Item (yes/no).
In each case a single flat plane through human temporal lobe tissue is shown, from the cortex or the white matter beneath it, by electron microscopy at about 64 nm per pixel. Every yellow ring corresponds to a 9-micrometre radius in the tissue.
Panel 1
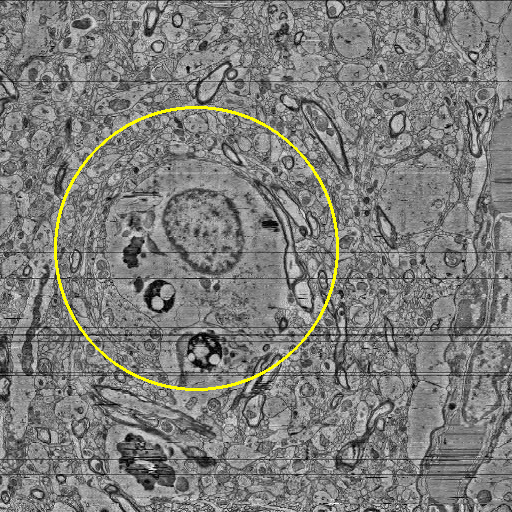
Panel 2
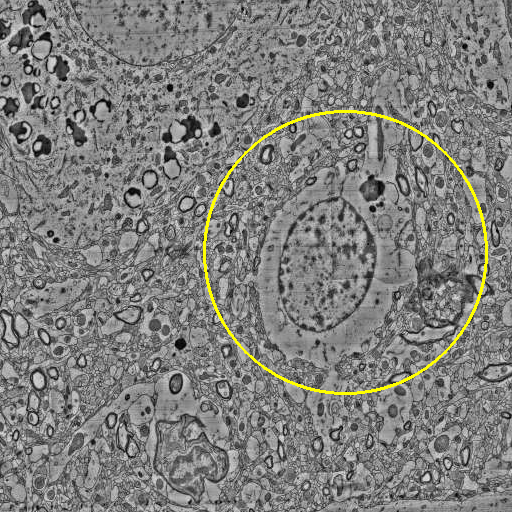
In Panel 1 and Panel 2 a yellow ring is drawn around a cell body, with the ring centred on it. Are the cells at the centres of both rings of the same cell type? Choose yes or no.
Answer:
yes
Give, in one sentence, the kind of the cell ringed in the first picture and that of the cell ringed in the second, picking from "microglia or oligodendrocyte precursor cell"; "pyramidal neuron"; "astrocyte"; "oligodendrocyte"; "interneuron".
Both cells are the same kind, each one being an astrocyte.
